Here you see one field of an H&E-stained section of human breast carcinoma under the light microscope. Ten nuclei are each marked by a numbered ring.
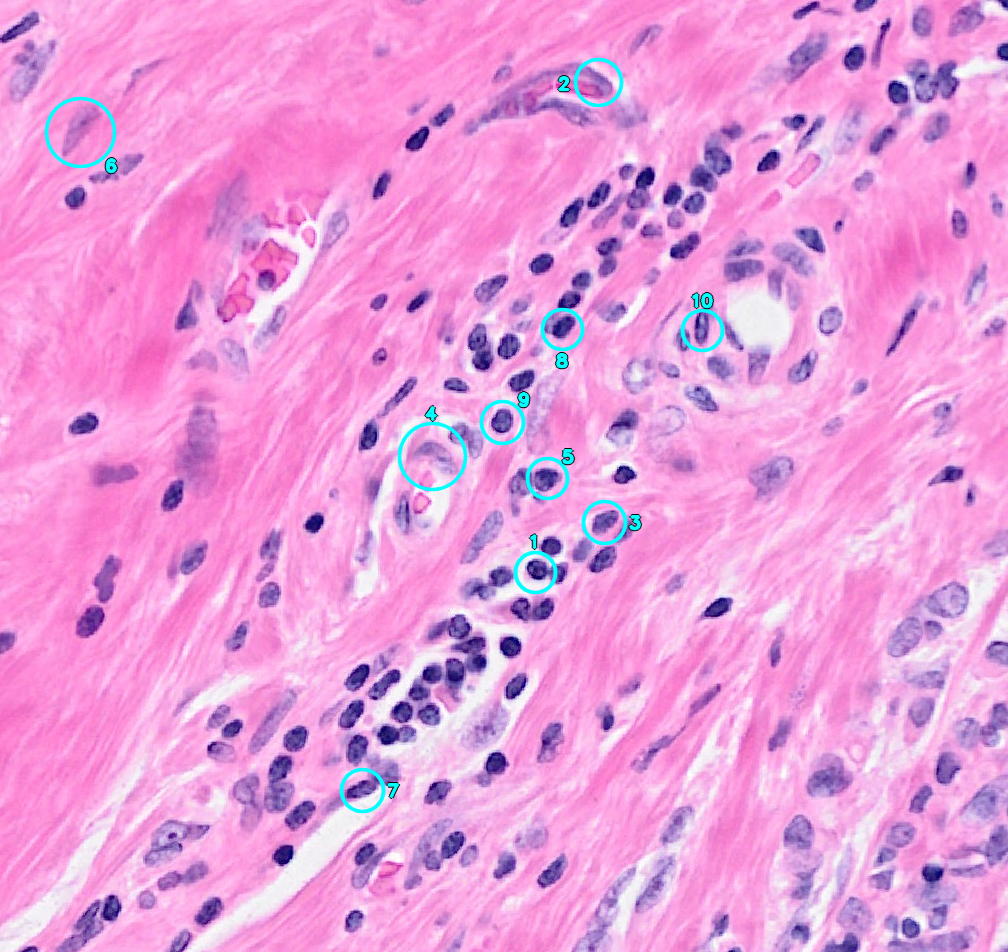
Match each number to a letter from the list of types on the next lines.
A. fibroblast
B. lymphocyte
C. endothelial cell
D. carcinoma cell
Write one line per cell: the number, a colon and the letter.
1: B
2: C
3: B
4: C
5: B
6: A
7: B
8: B
9: B
10: C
